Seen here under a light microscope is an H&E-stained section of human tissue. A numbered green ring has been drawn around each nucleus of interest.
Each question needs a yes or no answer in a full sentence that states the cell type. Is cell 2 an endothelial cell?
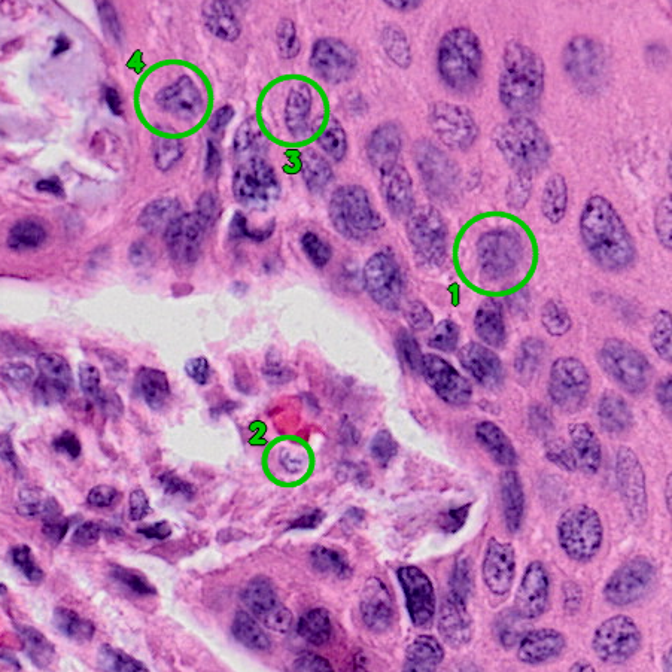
Yes, that is so; number 2 marks an endothelial cell.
